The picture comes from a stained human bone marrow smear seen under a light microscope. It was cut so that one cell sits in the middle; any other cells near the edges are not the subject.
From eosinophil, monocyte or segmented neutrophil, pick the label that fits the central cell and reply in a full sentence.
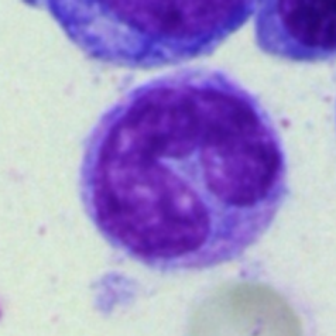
The cell under consideration, at the middle of the crop, is a monocyte.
